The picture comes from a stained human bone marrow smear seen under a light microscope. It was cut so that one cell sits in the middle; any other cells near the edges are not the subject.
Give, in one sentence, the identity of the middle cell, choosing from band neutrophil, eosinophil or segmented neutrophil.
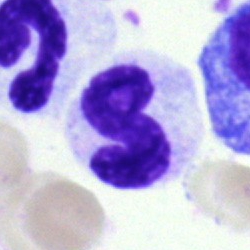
This crop has a band neutrophil at its centre.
